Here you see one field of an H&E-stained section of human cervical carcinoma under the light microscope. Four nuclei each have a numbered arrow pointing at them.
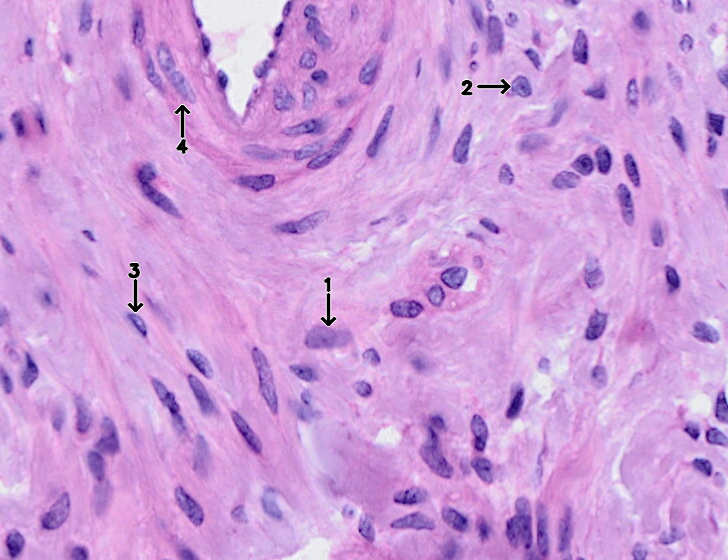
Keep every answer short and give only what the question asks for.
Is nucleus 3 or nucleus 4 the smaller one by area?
3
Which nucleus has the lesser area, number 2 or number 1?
2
